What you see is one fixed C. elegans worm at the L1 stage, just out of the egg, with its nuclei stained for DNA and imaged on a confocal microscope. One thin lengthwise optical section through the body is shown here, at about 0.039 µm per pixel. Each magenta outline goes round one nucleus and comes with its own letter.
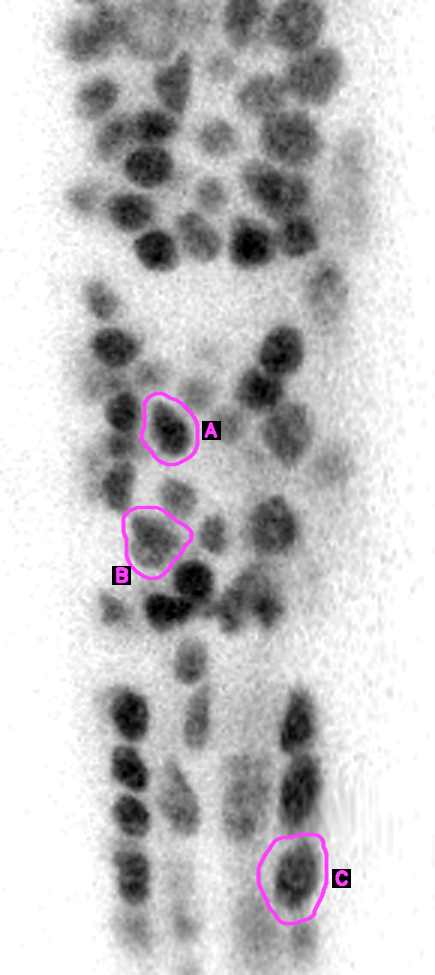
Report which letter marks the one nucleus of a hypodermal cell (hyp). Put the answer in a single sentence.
Of the marked nuclei, C is the one in a hypodermal cell (hyp).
